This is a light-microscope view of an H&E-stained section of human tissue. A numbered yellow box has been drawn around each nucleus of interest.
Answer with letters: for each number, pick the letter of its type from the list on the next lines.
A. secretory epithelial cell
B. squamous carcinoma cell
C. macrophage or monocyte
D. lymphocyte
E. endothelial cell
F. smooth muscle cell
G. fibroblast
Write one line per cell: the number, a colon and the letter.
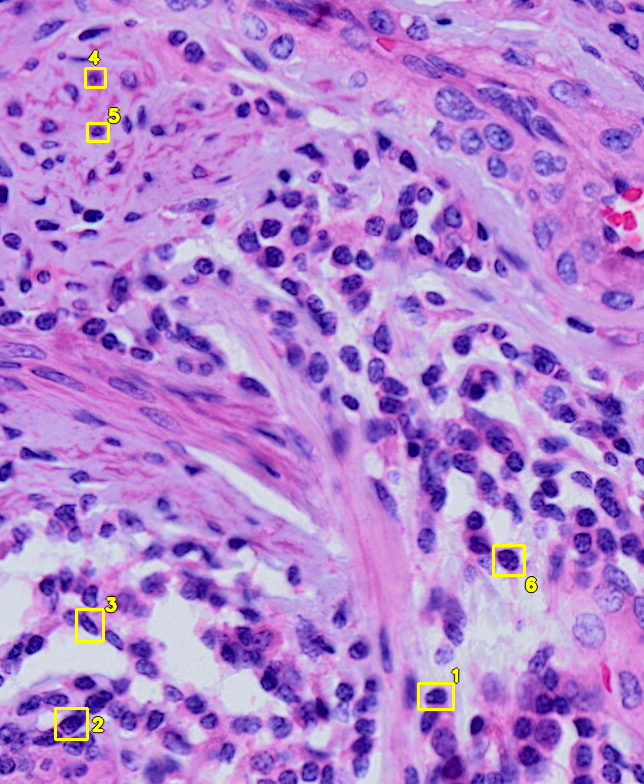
1: D
2: D
3: D
4: F
5: F
6: D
